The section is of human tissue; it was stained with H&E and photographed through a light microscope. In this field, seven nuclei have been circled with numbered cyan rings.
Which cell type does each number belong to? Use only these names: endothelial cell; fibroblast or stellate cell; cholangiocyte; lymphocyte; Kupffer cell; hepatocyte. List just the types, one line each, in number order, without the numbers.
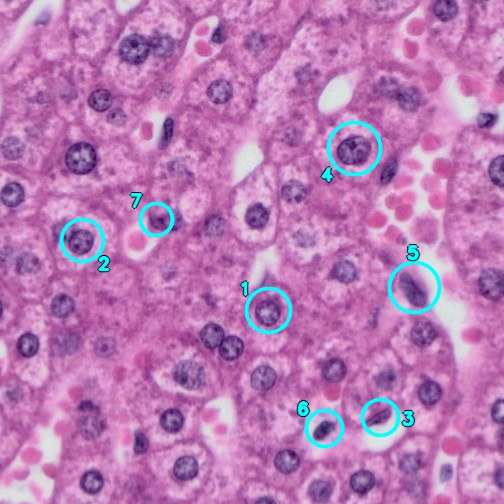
hepatocyte
hepatocyte
Kupffer cell
hepatocyte
Kupffer cell
lymphocyte
Kupffer cell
